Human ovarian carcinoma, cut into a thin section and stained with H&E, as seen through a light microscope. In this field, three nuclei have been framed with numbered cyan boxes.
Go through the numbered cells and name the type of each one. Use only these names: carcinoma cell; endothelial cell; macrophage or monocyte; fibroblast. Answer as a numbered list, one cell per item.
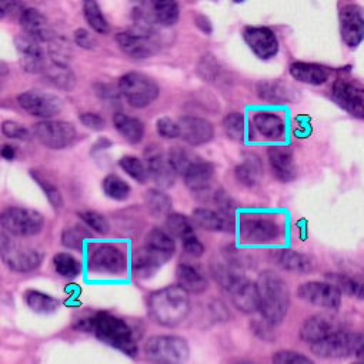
1. carcinoma cell
2. carcinoma cell
3. macrophage or monocyte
